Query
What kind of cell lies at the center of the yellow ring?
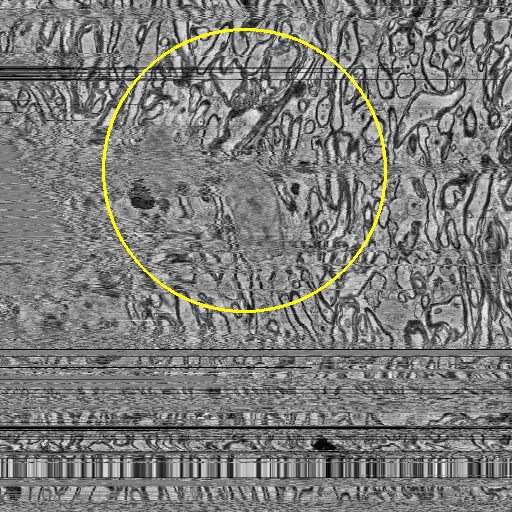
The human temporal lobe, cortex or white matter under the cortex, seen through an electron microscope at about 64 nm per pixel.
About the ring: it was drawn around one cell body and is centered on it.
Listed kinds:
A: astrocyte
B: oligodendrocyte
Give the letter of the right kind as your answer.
B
